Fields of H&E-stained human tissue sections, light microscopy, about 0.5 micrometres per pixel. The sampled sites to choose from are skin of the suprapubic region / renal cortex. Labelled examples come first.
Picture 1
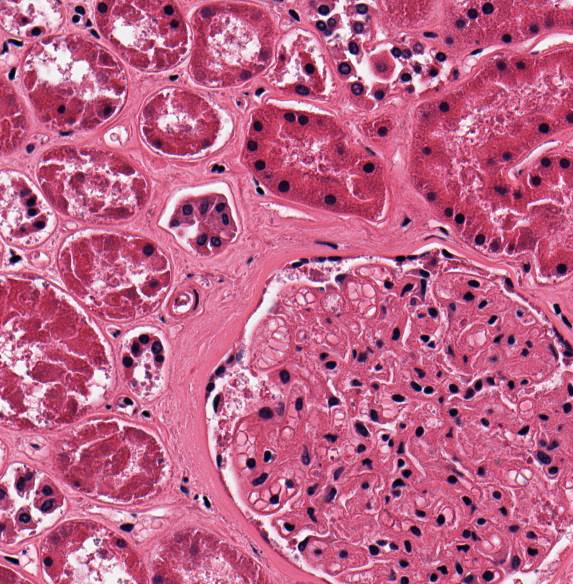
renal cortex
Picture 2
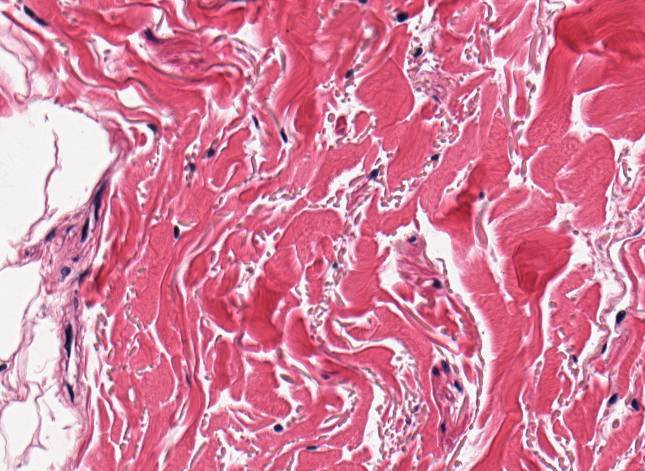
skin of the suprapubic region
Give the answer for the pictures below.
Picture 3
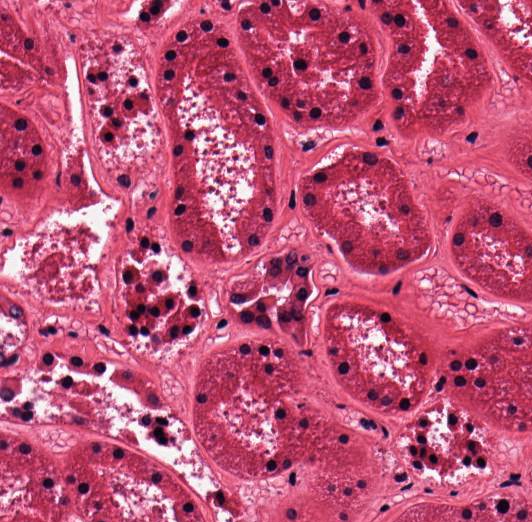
renal cortex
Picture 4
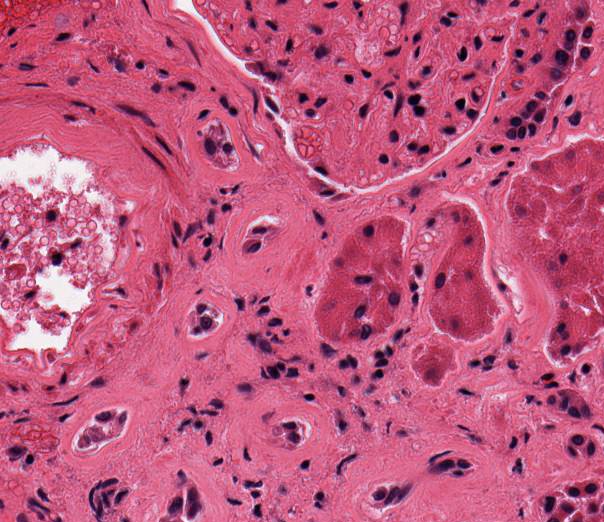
renal cortex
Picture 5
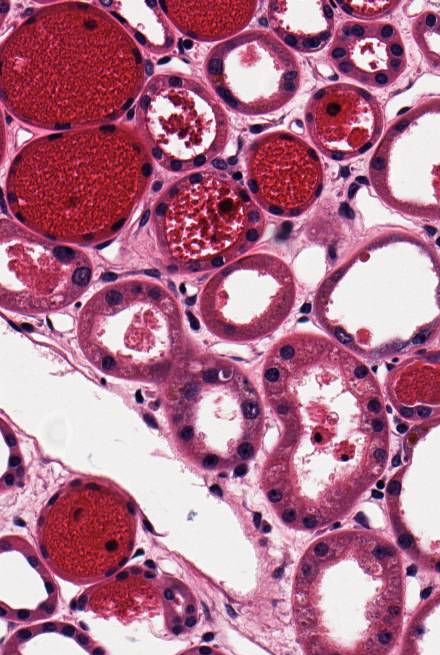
renal cortex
